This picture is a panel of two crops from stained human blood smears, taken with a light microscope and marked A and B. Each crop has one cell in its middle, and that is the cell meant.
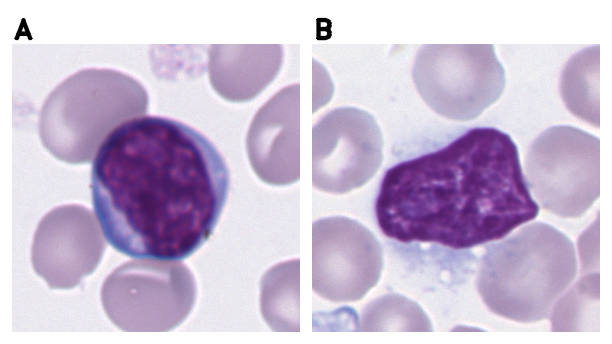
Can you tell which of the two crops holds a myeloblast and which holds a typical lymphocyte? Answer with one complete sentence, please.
Crop A features a typical lymphocyte, while crop B features a myeloblast.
